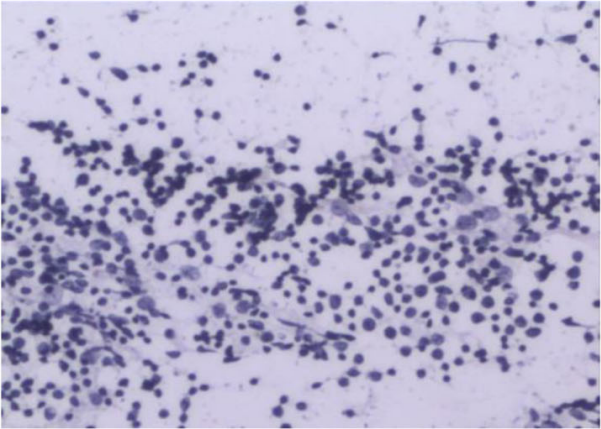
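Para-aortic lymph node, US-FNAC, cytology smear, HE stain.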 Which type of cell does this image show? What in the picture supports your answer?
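Many small, dispersed cells with round, dark nuclei and scant cytoplasm. The cells lie singly rather than in cohesive clusters.
Answer: scattered lymphocytes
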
